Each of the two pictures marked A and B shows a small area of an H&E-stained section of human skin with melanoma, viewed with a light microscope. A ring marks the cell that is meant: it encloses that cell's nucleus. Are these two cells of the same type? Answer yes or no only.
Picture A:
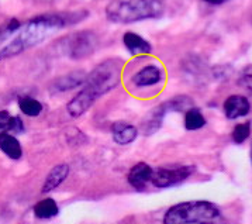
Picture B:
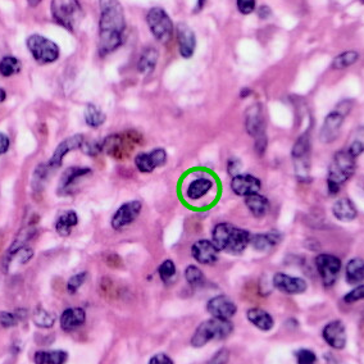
yes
